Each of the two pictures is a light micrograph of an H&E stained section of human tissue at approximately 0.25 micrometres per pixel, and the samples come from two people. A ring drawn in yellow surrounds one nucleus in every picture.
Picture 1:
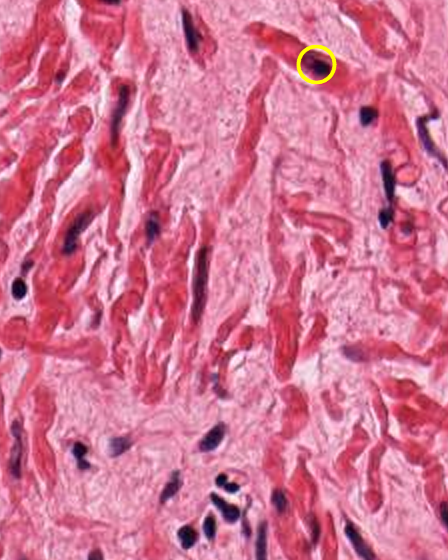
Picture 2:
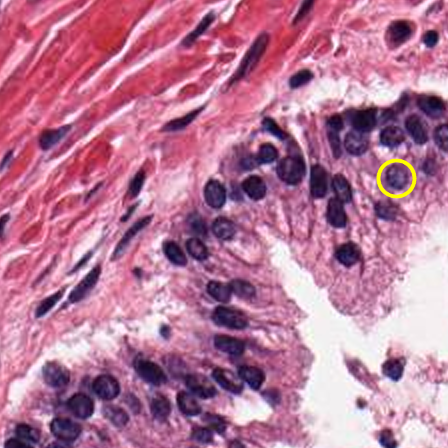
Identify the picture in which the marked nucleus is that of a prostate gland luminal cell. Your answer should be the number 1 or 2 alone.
2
